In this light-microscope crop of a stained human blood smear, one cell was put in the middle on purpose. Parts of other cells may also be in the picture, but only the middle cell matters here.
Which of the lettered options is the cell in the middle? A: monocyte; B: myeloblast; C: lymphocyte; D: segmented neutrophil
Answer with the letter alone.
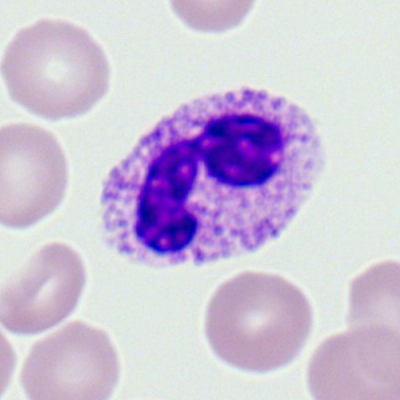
D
